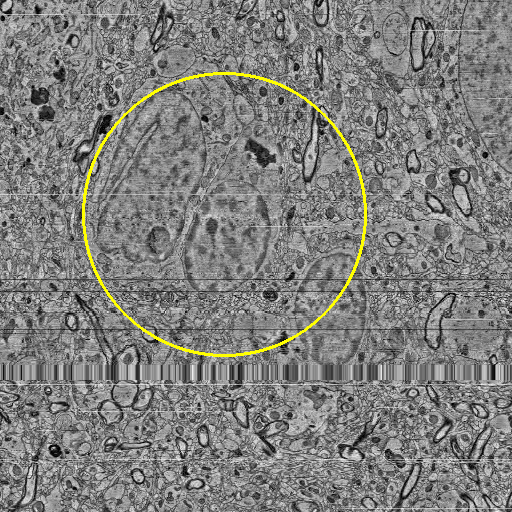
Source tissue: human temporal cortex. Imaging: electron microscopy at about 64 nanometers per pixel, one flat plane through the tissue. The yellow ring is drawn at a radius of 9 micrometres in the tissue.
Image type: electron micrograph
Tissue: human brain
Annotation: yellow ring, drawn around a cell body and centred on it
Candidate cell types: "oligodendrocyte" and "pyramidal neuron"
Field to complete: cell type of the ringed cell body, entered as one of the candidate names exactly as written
oligodendrocyte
